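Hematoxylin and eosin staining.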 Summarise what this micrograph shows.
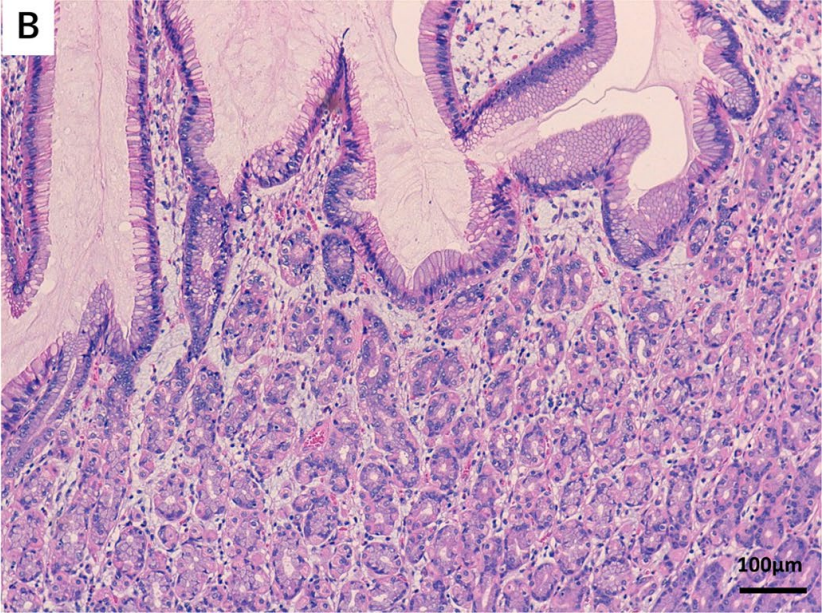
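This is gastric-type mucosa with surface foveolar epithelium above and densely packed gastric glands below. The surface and pits are lined by a single layer of tall columnar cells whose apical cytoplasm is pale and mucous, with small dark nuclei set toward the base. Pale, faintly pink-grey mucoid material fills the spaces between the folds. A few small capillaries with red blood cells lie in the thin lamina propria between the glands.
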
